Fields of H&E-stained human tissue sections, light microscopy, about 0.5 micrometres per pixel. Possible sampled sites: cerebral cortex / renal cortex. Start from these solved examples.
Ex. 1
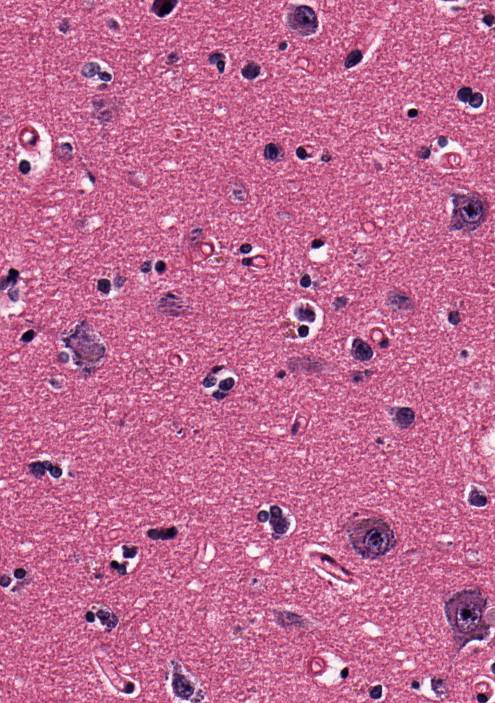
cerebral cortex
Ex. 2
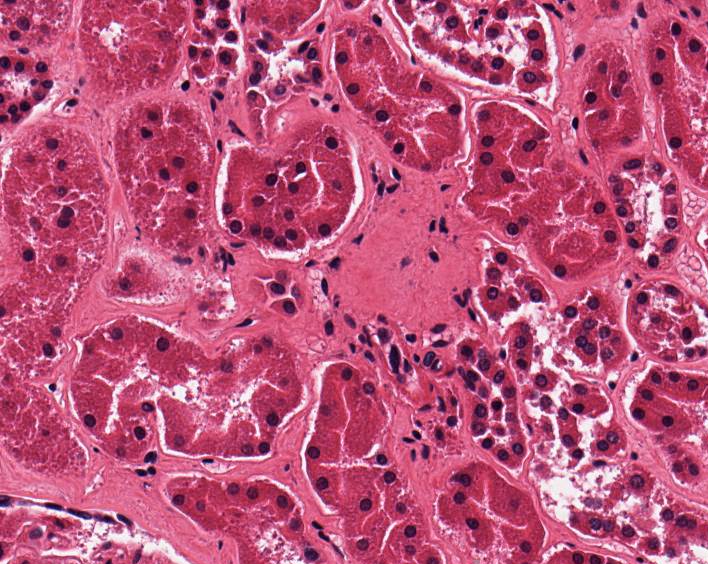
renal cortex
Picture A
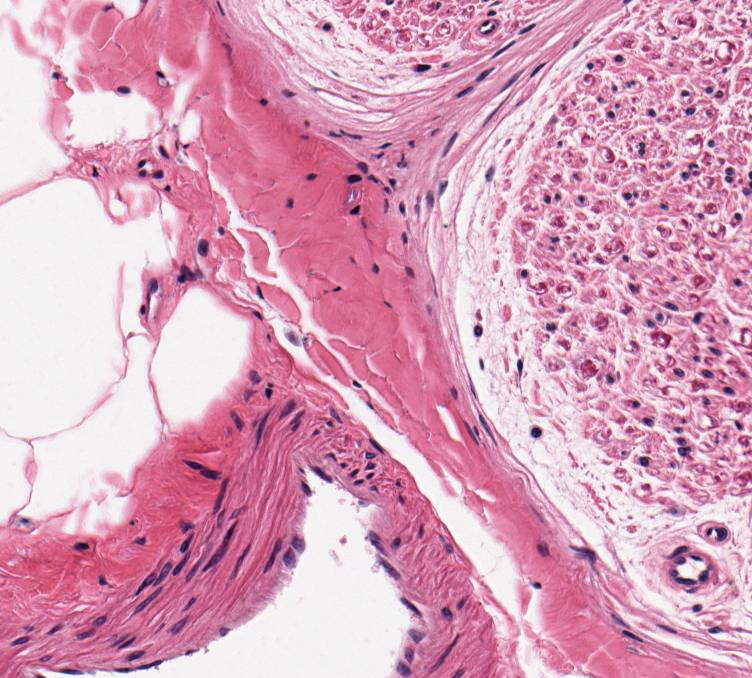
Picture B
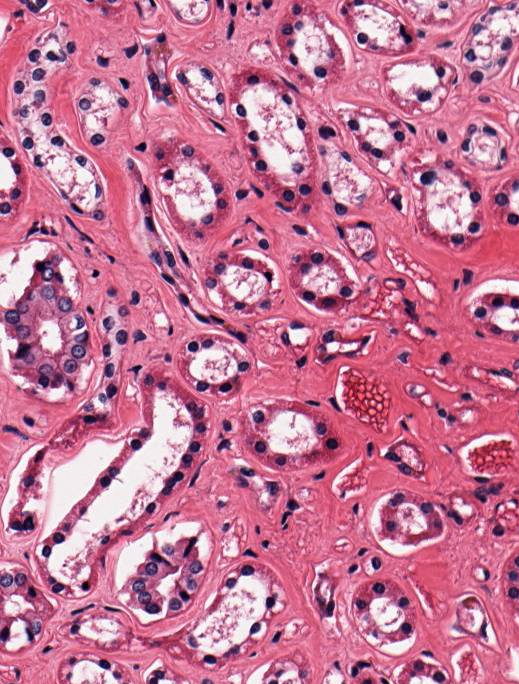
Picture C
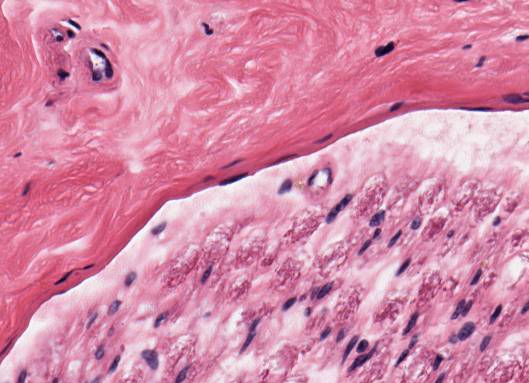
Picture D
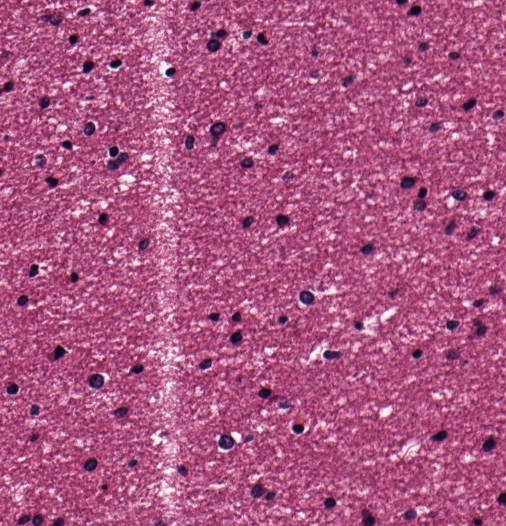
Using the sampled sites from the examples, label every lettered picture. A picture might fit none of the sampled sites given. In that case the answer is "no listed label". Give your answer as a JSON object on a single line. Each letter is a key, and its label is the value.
{"A": "no listed label", "B": "renal cortex", "C": "no listed label", "D": "cerebral cortex"}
